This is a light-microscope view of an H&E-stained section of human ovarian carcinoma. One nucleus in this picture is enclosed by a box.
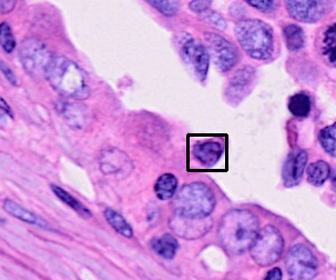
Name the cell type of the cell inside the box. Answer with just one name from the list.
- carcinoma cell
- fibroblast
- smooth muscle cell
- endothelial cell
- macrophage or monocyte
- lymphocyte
macrophage or monocyte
